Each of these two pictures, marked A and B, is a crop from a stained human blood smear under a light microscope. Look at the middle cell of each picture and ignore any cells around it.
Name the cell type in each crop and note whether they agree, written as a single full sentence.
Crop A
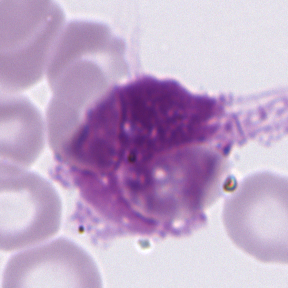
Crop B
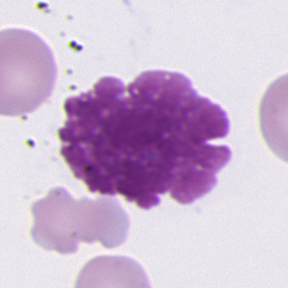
Yes, what both crops show is smudge cells.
